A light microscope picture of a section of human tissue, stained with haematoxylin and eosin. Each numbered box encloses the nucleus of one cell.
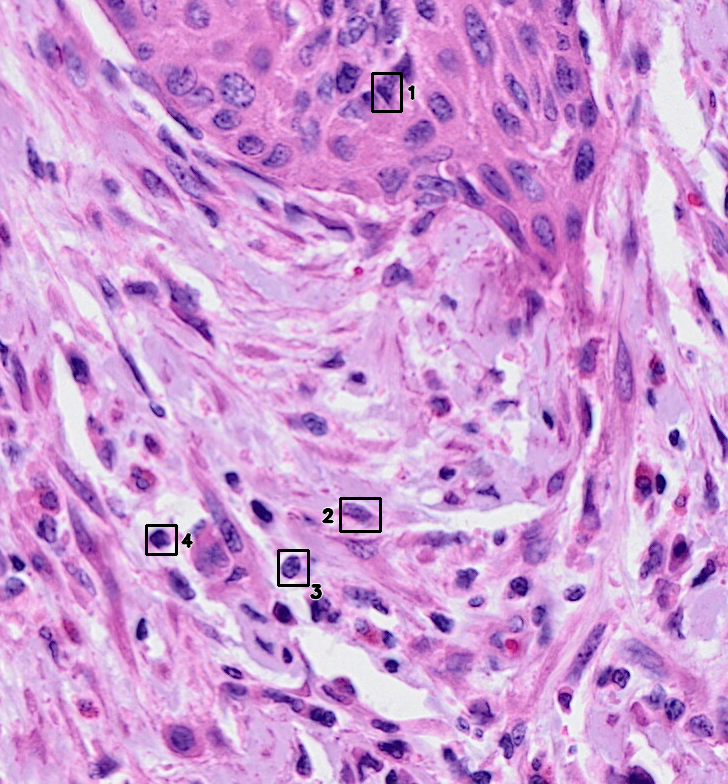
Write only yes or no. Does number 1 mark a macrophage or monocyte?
no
